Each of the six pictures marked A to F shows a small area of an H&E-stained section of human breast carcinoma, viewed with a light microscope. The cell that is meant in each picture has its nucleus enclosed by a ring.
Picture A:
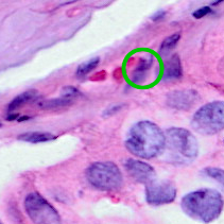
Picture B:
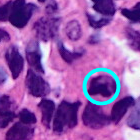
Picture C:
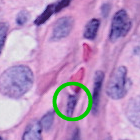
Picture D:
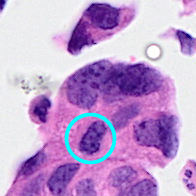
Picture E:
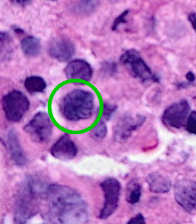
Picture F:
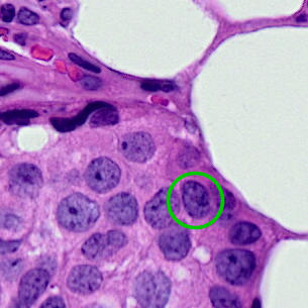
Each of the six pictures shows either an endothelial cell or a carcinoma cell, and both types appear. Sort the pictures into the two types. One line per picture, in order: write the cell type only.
endothelial cell
carcinoma cell
endothelial cell
carcinoma cell
carcinoma cell
carcinoma cell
